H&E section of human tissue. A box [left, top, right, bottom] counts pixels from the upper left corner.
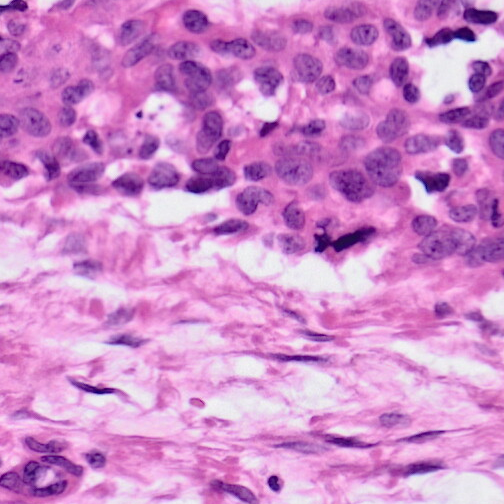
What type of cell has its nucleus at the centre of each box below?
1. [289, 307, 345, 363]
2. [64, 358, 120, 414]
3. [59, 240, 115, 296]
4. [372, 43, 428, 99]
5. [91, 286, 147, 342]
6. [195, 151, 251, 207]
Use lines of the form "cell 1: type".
cell 1: fibroblast
cell 2: fibroblast
cell 3: fibroblast
cell 4: carcinoma cell
cell 5: fibroblast
cell 6: carcinoma cell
